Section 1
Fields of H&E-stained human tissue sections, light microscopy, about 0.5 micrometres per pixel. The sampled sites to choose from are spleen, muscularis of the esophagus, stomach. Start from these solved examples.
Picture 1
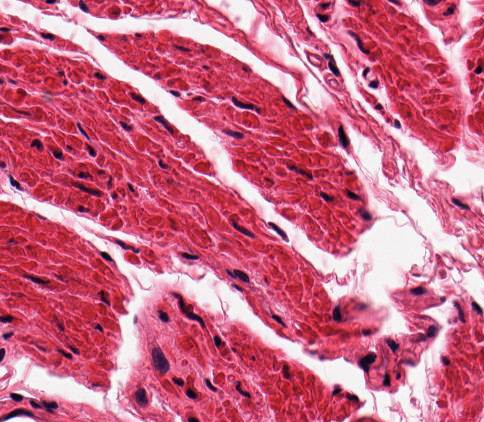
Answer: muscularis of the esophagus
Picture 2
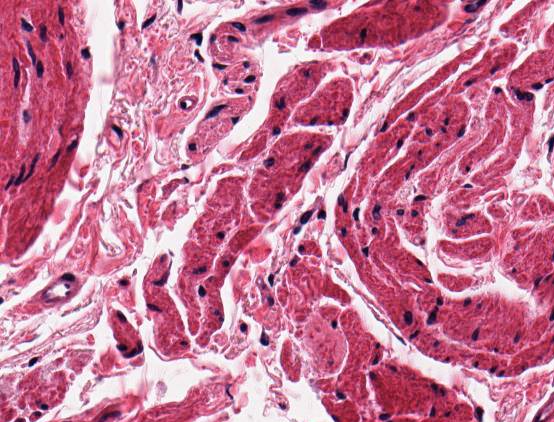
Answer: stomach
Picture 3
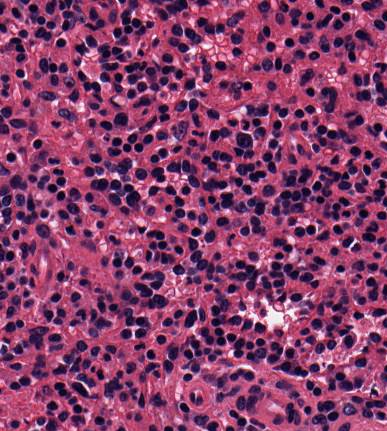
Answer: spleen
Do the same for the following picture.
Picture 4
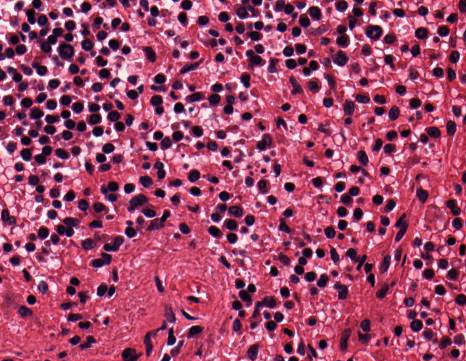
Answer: spleen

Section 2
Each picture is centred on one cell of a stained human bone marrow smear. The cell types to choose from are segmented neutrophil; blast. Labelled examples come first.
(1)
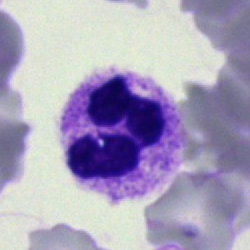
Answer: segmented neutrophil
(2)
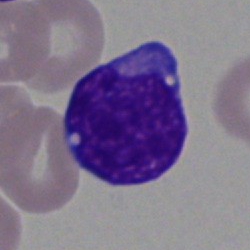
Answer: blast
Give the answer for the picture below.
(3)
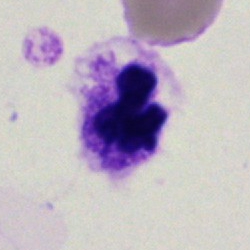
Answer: segmented neutrophil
